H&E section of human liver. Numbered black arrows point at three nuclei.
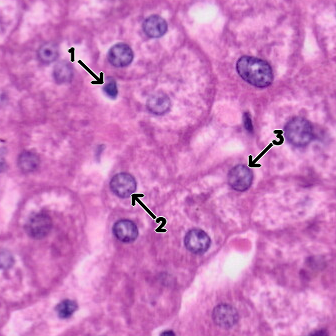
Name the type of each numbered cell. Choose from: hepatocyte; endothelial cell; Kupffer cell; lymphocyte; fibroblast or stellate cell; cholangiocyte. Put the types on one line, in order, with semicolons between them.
lymphocyte; hepatocyte; hepatocyte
